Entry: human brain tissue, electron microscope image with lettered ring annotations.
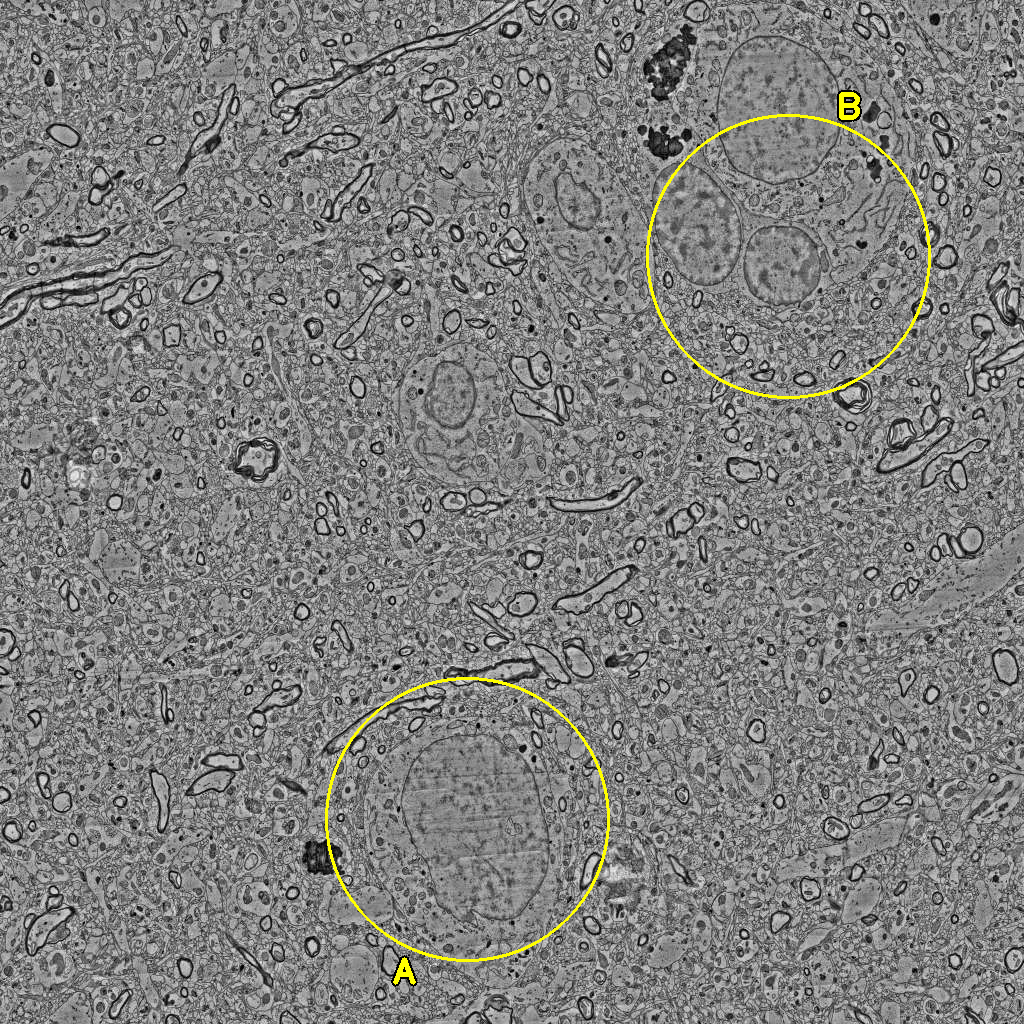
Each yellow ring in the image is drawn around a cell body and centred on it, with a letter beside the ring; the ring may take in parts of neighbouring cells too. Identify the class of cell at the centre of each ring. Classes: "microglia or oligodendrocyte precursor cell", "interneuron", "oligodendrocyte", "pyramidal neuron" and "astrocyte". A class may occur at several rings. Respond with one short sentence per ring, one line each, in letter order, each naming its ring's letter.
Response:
Ring A holds a pyramidal neuron at its centre.
Ring B holds an oligodendrocyte at its centre.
